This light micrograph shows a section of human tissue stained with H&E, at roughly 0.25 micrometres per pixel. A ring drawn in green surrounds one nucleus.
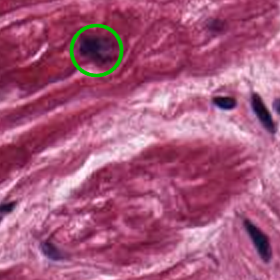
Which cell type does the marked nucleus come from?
cardiomyocyte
